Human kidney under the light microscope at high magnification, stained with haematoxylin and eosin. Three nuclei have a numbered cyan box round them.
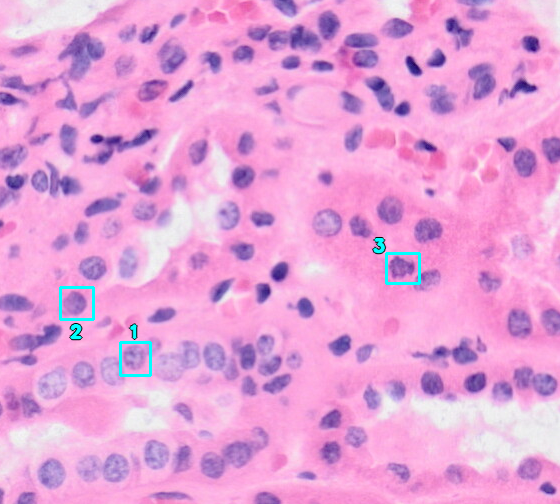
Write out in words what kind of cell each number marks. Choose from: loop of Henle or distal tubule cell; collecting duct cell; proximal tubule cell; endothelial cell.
Cell 1 is a collecting duct cell. Cell 2 is a loop of Henle or distal tubule cell. Cell 3 is a proximal tubule cell.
